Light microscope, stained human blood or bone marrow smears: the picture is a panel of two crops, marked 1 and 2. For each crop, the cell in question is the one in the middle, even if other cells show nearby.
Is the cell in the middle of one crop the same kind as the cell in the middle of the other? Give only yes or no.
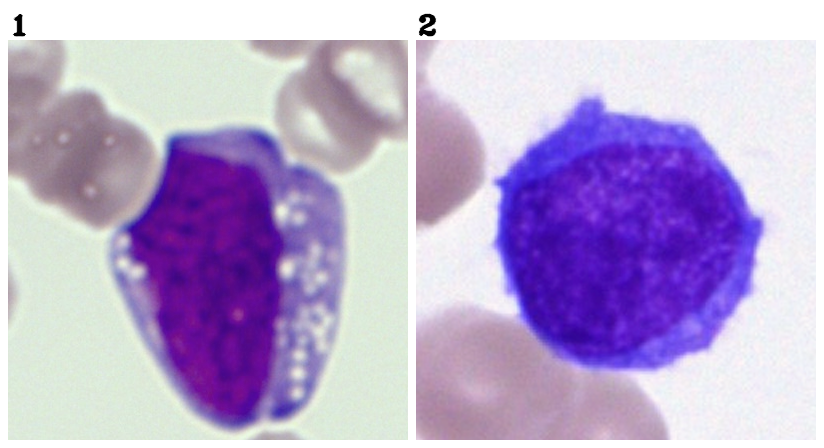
yes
